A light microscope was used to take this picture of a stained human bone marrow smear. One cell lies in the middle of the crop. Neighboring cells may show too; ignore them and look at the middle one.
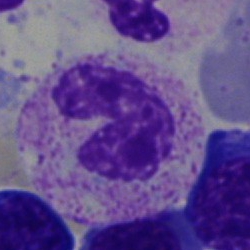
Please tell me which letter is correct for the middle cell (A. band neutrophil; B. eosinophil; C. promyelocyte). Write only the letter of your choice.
A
